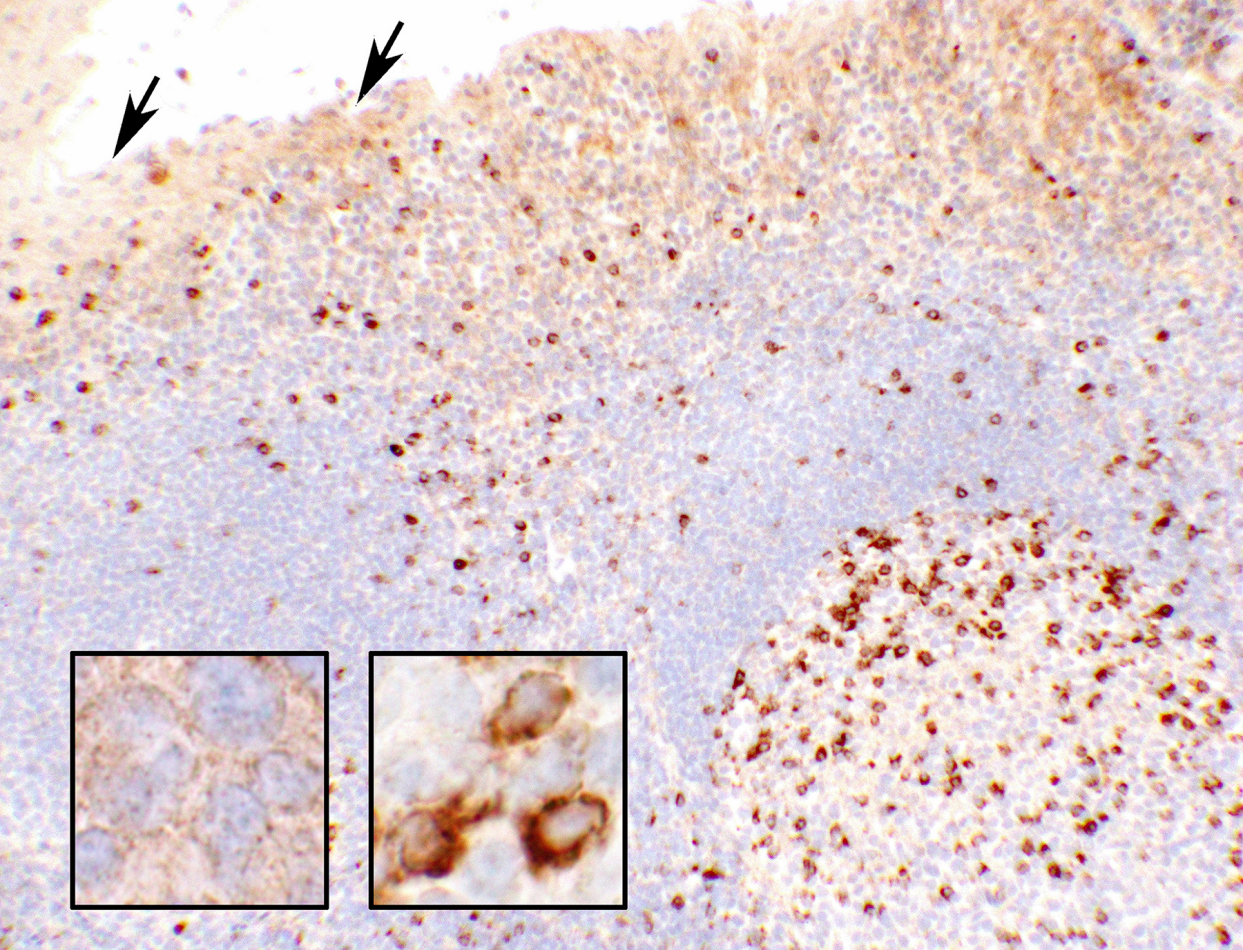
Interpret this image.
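Tonsillar tissue shows the squamous epithelial lining of a crypt along the top and dense lymphoid tissue beneath. The epithelium, bordering an empty crypt space, carries a faint diffuse brown tint. Below, countless small round lymphoid cells with blue nuclei fill the field, among which scattered cells stain strongly brown. These brown cells crowd most densely in a rounded area at the lower right. One inset shows large polygonal epithelial cells with pale round nuclei and finely granular, lightly brown cytoplasm; the other shows a few lymphoid cells with a strong brown rim at the membrane and brown cytoplasm around a pale nucleus.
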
